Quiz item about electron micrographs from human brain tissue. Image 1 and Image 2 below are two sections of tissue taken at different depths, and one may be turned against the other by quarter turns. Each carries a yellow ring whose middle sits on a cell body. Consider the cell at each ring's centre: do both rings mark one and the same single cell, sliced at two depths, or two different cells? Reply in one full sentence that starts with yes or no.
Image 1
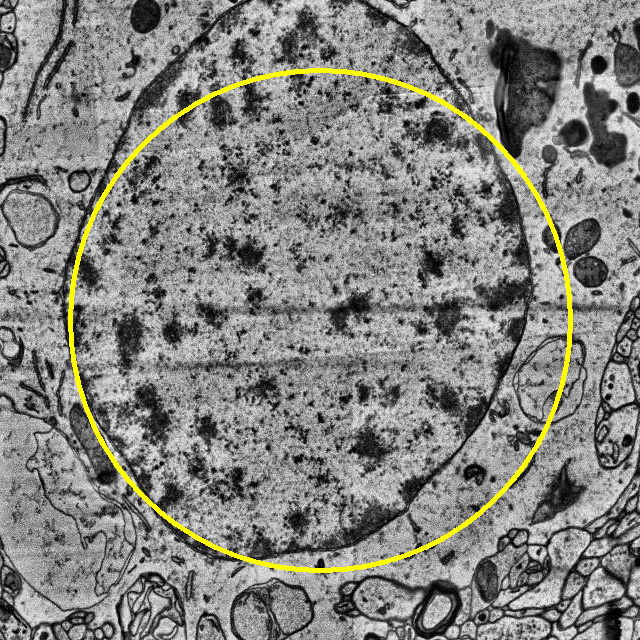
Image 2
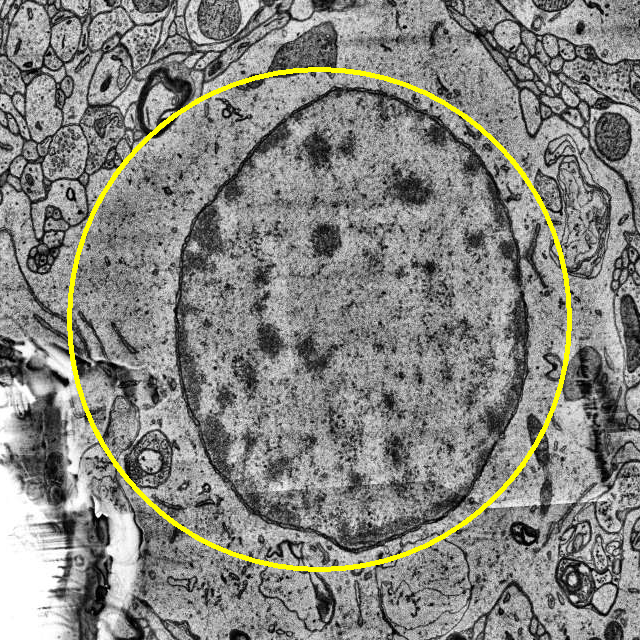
Yes, one single cell is under each of the two rings.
